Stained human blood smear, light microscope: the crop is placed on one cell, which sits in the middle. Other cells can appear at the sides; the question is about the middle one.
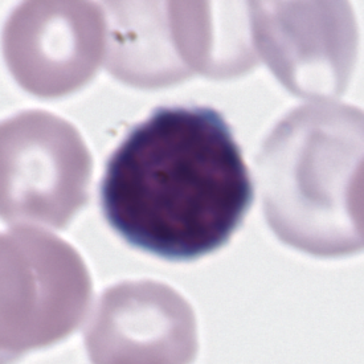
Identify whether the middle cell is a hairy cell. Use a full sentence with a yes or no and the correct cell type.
No, the cell at the centre of the crop is a typical lymphocyte and not a hairy cell.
